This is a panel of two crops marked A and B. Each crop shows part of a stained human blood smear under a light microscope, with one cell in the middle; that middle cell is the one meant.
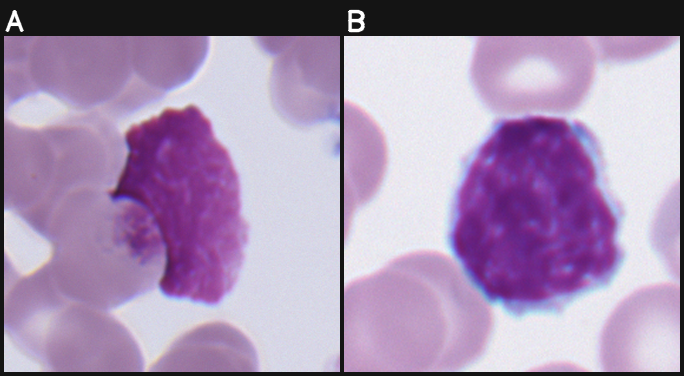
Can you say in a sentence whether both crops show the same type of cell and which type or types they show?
No, at the centre of crop A is a smudge cell, and at the centre of crop B is a typical lymphocyte.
